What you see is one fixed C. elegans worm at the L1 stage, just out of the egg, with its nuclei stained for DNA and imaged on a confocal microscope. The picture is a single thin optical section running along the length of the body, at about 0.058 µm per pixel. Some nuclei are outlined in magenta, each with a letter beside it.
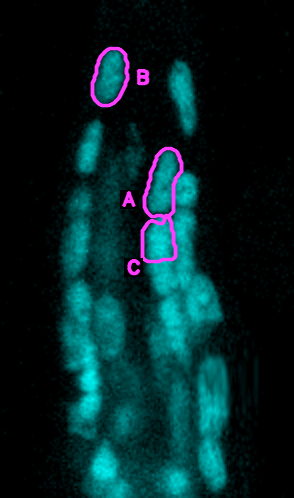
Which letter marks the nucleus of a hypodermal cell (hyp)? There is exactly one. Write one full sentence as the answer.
The nucleus of a hypodermal cell (hyp) is B.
